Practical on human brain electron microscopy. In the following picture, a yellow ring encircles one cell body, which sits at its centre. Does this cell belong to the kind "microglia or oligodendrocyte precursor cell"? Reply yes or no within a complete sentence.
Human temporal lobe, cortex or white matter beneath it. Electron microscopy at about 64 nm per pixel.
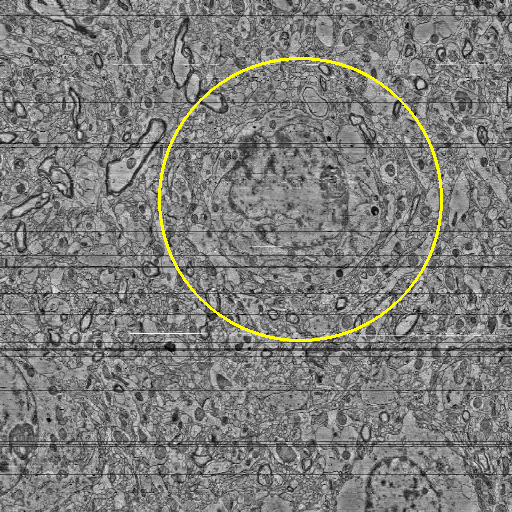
No, the cell lying within the ring at its centre is another kind.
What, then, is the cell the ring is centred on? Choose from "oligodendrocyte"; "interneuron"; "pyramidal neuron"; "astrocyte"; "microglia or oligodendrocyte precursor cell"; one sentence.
What the ring encloses here is an interneuron.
